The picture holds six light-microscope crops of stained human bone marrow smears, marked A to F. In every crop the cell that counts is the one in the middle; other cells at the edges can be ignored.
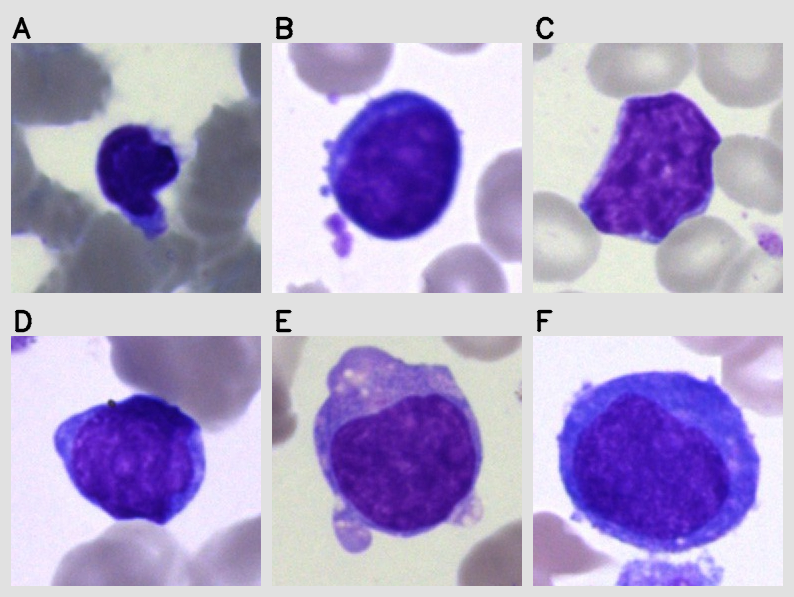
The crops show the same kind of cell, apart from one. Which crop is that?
A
